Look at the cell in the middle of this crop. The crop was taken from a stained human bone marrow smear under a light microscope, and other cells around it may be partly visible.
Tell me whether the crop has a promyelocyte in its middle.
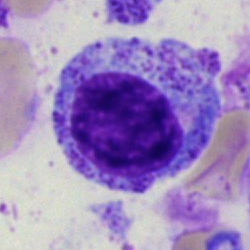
no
